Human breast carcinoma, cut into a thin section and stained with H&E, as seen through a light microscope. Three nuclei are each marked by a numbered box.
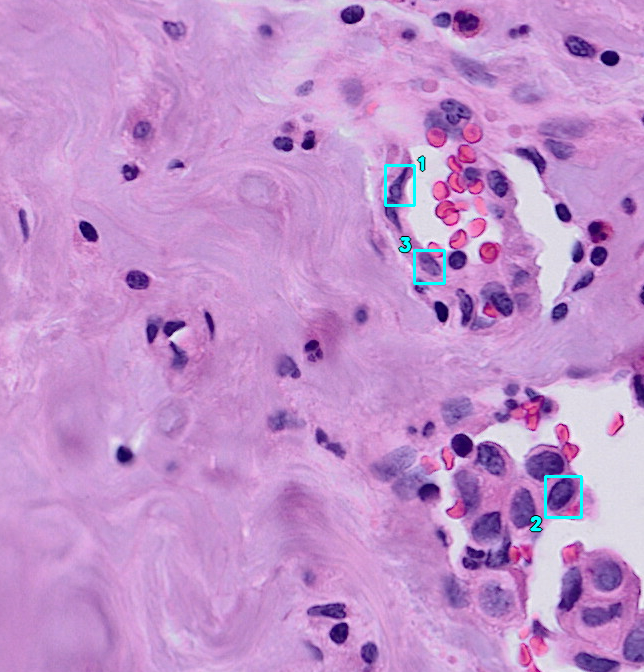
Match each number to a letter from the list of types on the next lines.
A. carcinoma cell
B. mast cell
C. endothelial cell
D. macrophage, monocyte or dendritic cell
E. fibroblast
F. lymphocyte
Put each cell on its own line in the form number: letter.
1: C
2: A
3: C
